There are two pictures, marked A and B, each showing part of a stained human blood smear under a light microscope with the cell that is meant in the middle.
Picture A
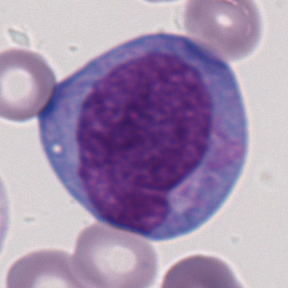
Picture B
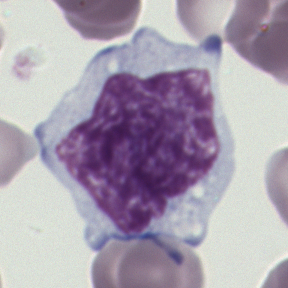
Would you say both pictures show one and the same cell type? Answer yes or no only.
no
